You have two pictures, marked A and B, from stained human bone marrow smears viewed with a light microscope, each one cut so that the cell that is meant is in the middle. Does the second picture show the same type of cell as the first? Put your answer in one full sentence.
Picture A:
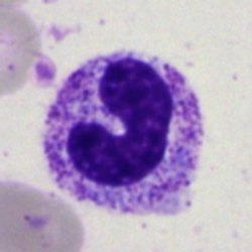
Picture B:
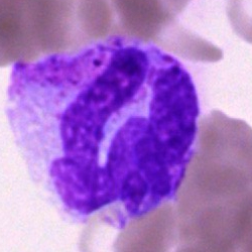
No. Picture A shows a band neutrophil, but picture B shows a monocyte.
